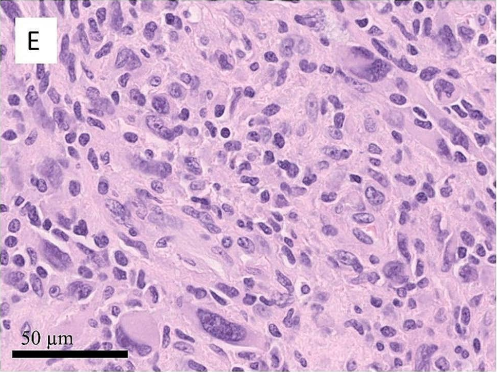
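This is a high-power view of the tumor, with larger tumor cells carrying big, dark nuclei and abundant pink cytoplasm, some with prominent nucleoli. Smaller inflammatory cells, histiocytes and lymphocytes with small round dark nuclei, are mixed in between them.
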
